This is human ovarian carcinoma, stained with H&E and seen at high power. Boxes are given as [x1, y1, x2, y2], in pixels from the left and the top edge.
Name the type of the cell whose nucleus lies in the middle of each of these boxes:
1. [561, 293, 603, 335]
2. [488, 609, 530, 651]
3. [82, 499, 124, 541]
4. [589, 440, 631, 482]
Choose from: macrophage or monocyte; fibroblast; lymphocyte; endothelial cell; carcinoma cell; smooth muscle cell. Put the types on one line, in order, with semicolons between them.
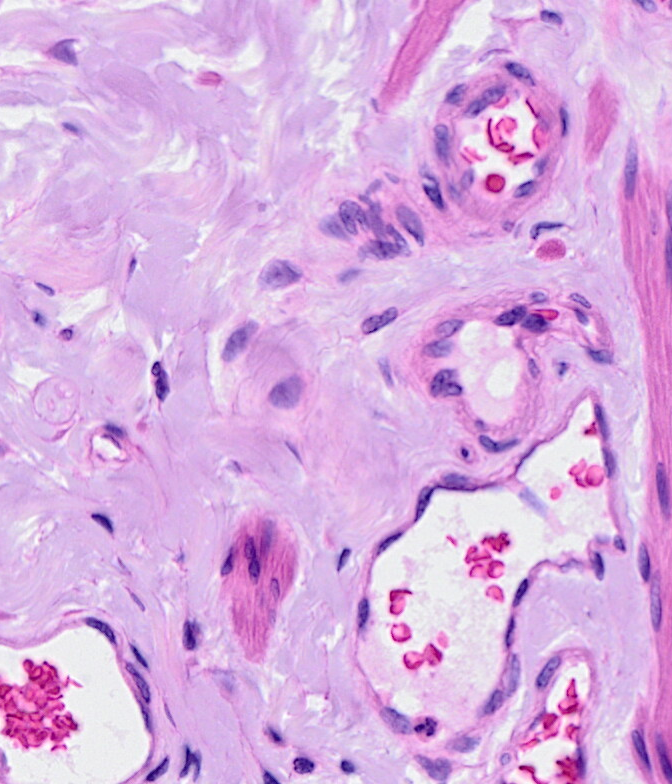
endothelial cell; endothelial cell; fibroblast; endothelial cell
